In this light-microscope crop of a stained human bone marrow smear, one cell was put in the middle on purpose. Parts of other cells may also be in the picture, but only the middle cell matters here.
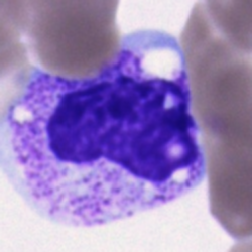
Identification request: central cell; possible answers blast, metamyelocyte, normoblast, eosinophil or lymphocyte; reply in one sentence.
Located at the centre of the crop is a metamyelocyte.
